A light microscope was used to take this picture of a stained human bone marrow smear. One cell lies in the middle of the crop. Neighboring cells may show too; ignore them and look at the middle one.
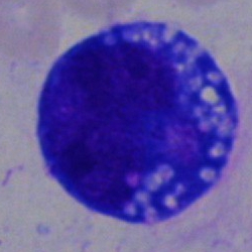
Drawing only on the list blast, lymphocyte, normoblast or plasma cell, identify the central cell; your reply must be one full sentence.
On this slide crop, the central cell is a blast.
